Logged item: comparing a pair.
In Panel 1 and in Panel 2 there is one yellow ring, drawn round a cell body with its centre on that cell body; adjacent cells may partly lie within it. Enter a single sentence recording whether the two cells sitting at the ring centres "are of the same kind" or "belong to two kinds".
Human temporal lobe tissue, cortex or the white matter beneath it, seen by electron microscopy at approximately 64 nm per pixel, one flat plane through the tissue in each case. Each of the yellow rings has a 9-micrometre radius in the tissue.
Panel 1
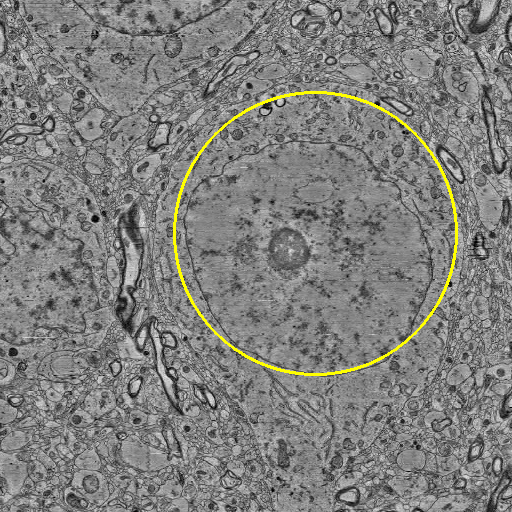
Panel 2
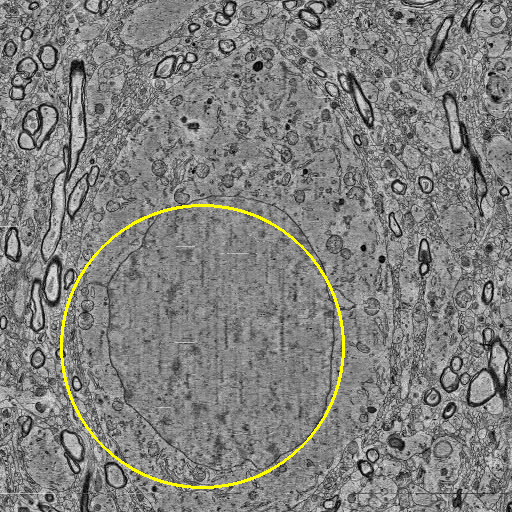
Logged: the cells centred in the rings of Panel 1 and Panel 2 are of the same kind.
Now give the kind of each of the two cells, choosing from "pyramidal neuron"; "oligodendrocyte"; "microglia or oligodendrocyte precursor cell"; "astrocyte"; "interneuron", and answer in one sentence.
Each of the two cells is a pyramidal neuron.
